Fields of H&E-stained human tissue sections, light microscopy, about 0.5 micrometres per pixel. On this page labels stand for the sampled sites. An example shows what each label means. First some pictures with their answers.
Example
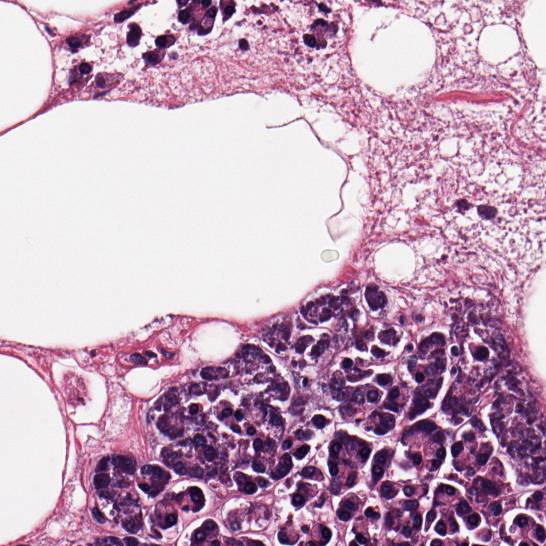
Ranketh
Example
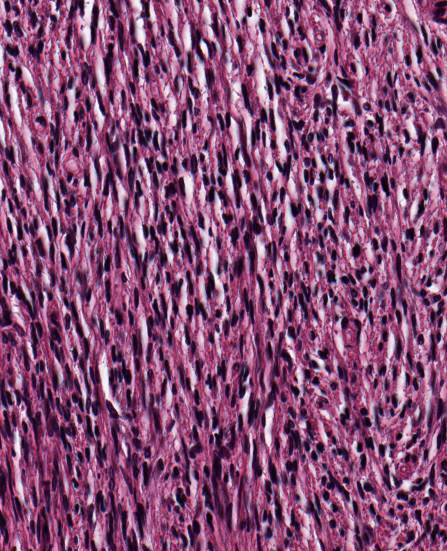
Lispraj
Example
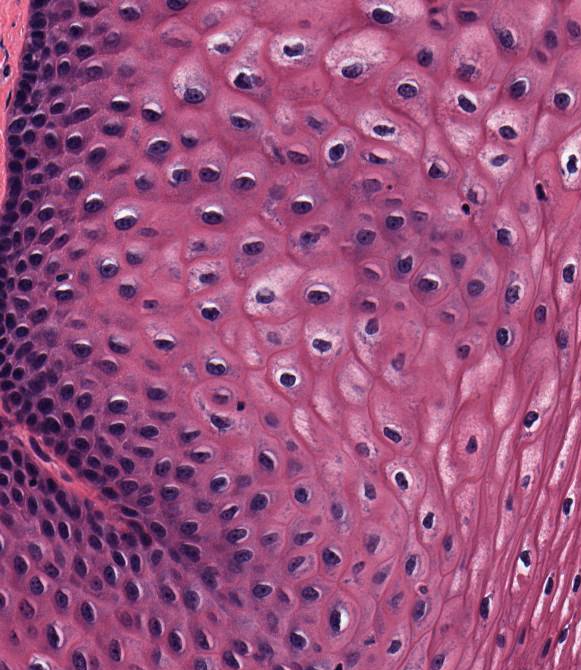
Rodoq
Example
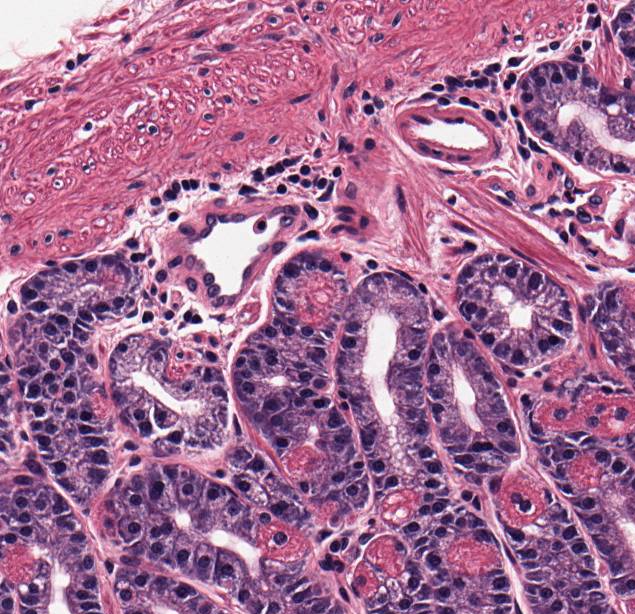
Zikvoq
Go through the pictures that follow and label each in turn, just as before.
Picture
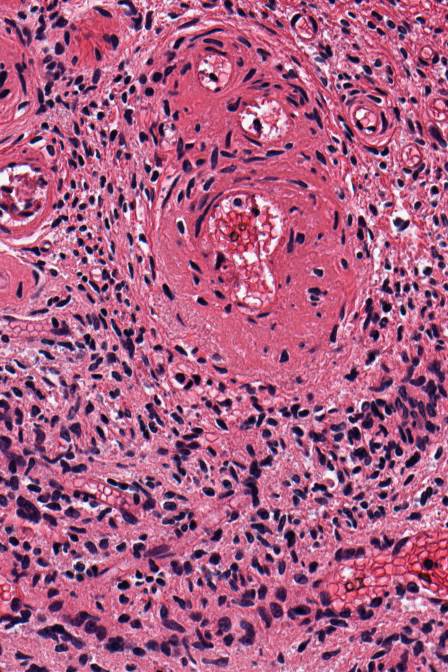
Lispraj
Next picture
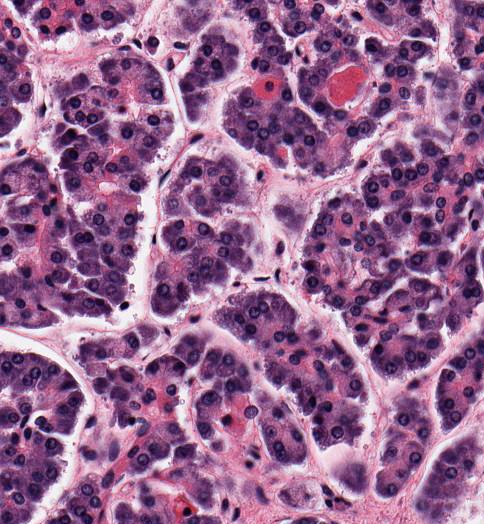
Ranketh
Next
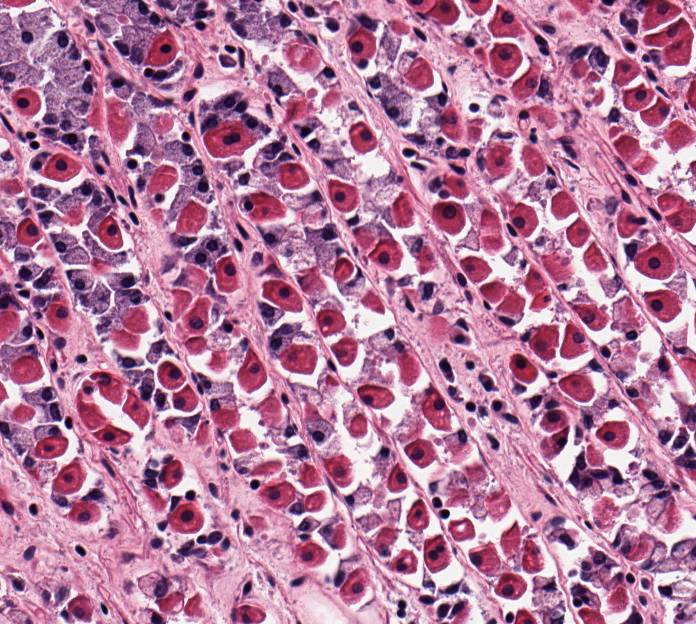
Zikvoq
